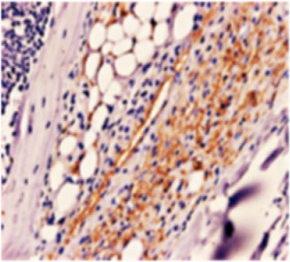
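Brown staining fills the spaces between the cells of this band, which runs diagonally among the fat cells. At the upper left lies a tight cluster of small, darkly stained round nuclei, and a pale pink fibrous strip runs along the left edge.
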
